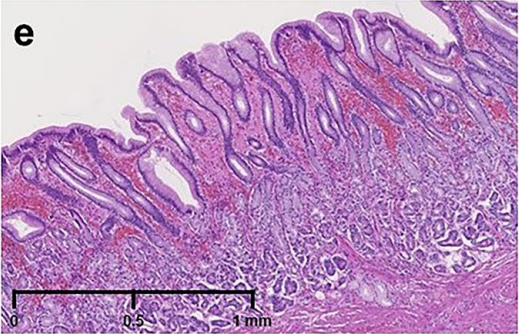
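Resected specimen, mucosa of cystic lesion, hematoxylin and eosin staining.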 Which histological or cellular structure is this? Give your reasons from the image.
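Long surface pits reach deep into the mucosa. Below them lie coiled glands with pale cytoplasm. So: pyloric glands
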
